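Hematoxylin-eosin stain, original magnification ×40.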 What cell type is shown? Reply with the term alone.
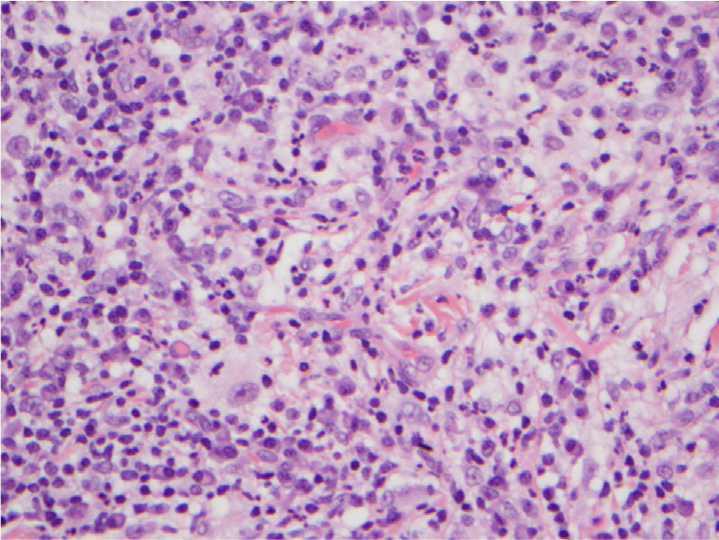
Foamy histiocytes.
